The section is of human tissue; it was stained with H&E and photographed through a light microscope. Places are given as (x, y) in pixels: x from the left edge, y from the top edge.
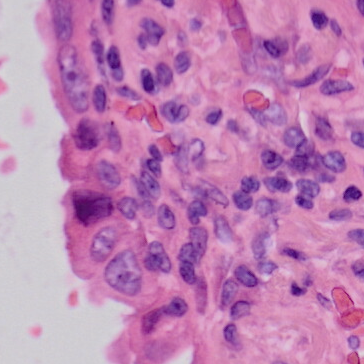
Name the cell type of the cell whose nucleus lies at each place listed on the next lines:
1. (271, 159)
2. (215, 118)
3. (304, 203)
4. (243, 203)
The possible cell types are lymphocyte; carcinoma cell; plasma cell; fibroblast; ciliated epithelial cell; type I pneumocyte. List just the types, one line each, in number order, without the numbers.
plasma cell
lymphocyte
lymphocyte
lymphocyte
